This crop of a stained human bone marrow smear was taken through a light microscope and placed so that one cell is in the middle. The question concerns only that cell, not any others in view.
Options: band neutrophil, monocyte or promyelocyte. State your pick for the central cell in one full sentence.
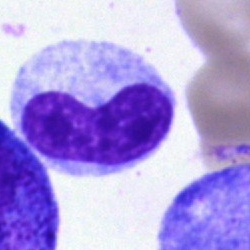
The cell sitting right in the middle is a band neutrophil.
